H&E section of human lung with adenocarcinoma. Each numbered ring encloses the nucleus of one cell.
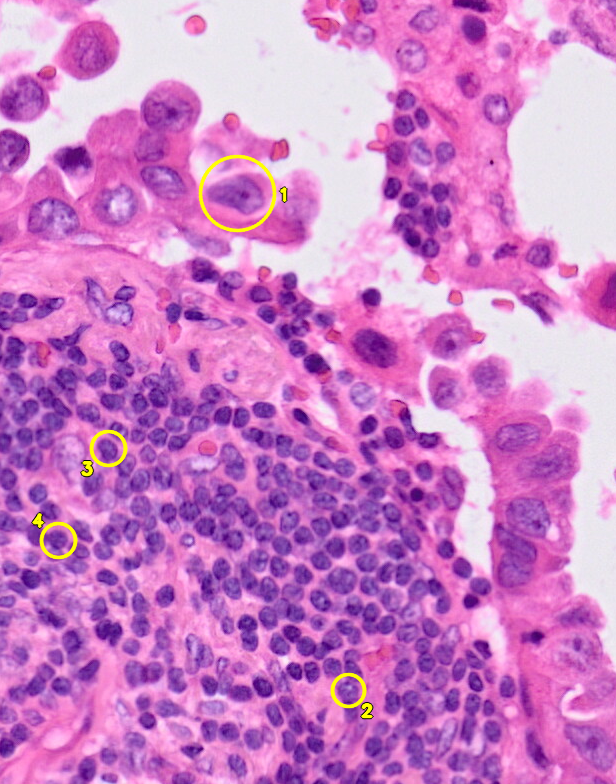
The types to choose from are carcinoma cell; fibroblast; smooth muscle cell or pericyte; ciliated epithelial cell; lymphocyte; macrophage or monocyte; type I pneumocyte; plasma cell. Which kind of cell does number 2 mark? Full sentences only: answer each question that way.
The cell tagged with 2 in this tissue section is a lymphocyte.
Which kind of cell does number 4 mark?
Heads up, the cell numbered 4 is a lymphocyte.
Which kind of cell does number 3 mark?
The cell indicated with the number 3 is classed as a lymphocyte.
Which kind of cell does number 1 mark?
The nucleus labelled 1 belongs to a carcinoma cell.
